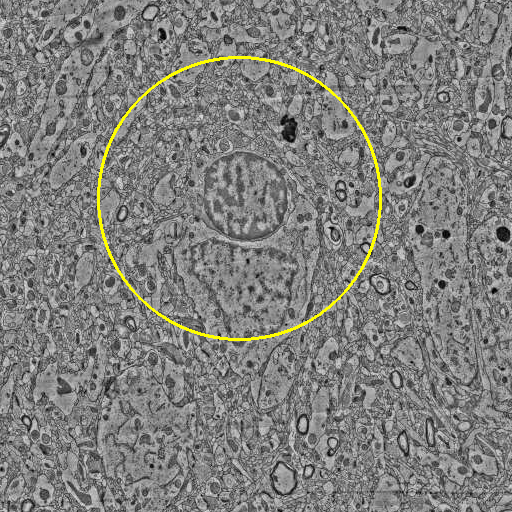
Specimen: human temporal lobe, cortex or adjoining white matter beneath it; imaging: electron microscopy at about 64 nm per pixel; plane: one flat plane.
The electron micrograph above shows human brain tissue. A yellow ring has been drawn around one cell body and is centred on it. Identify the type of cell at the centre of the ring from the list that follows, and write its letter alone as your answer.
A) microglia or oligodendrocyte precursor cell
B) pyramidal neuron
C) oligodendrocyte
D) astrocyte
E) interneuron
C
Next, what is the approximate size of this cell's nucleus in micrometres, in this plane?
The nucleus comes to roughly 6 micrometres across in this plane.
